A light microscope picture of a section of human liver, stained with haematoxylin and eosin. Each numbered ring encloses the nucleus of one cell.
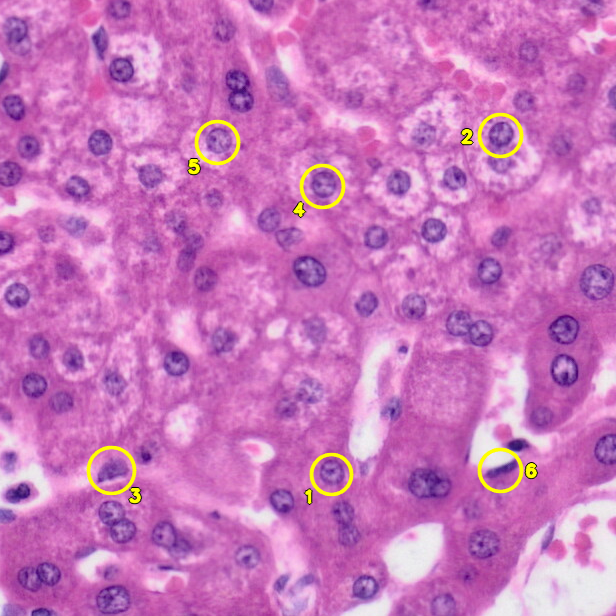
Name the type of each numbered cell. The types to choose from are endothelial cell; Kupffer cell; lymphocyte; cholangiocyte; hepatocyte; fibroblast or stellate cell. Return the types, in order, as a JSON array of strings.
["hepatocyte", "hepatocyte", "endothelial cell", "hepatocyte", "hepatocyte", "fibroblast or stellate cell"]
